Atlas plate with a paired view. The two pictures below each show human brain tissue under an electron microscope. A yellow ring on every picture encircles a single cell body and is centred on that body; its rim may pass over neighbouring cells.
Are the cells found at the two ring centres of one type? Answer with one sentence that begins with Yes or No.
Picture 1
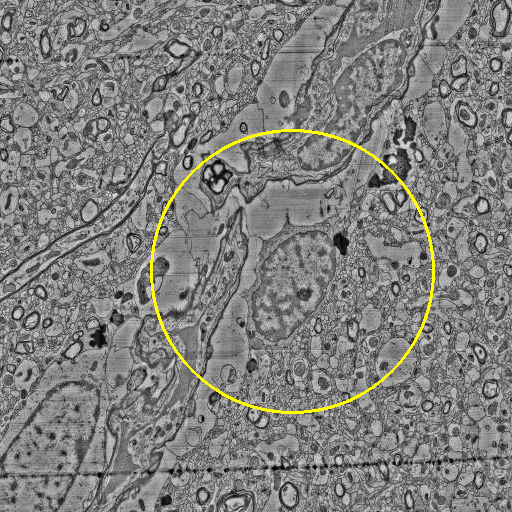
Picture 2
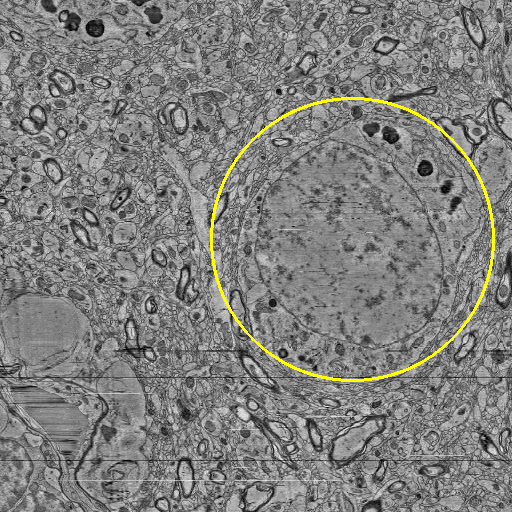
No, the two cells lying at the centres of the rings are of two types.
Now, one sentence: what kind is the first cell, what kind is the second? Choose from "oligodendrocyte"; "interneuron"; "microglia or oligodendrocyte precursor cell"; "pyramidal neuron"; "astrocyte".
The first picture has an oligodendrocyte at its ring centre, and the second has a pyramidal neuron.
